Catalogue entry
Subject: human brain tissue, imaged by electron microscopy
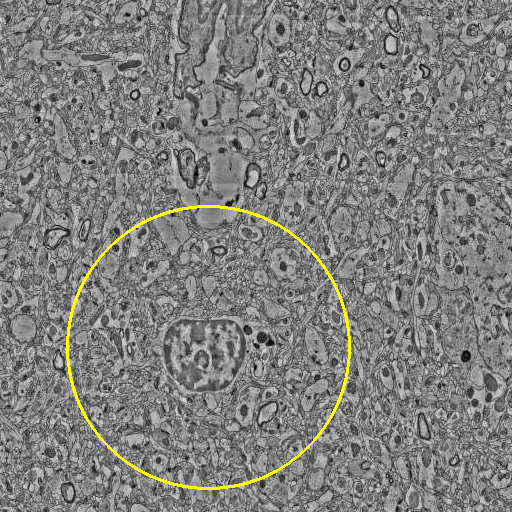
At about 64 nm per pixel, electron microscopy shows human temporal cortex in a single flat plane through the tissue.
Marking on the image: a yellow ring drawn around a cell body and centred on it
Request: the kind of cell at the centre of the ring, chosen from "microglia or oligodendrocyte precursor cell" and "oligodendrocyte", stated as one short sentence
The ring has a microglial cell or oligodendrocyte precursor cell at its centre.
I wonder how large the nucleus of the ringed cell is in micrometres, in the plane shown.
The nucleus is about 5 micrometres across in this plane.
